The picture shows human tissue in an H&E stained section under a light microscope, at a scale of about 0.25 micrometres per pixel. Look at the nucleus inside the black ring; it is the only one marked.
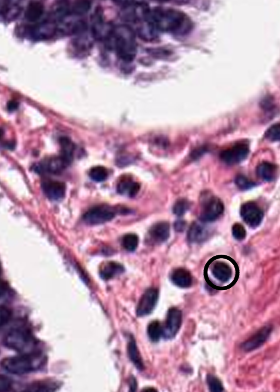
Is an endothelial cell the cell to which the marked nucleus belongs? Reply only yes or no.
no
